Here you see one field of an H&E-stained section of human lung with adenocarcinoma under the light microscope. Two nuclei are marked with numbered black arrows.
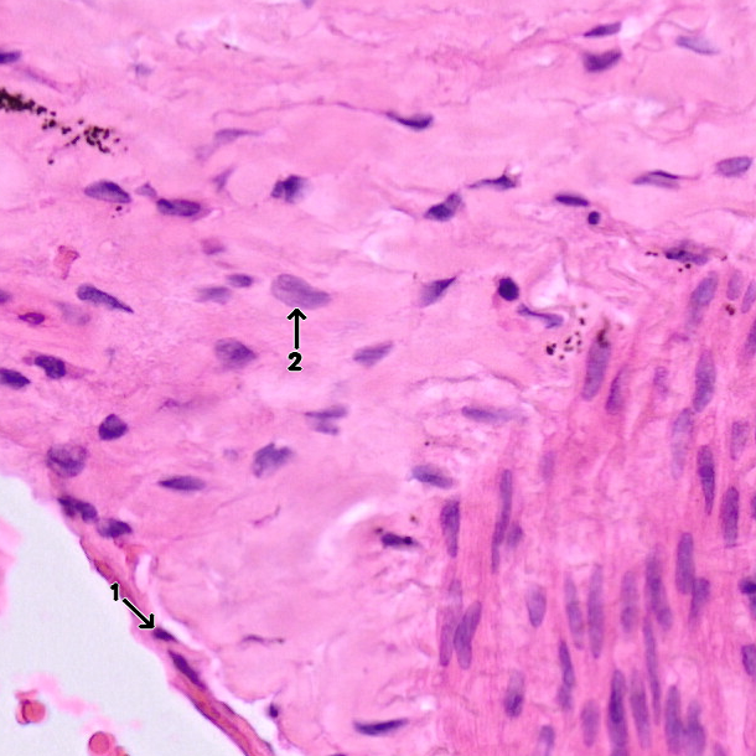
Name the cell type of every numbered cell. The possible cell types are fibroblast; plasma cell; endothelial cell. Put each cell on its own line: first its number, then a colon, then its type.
1: endothelial cell
2: fibroblast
